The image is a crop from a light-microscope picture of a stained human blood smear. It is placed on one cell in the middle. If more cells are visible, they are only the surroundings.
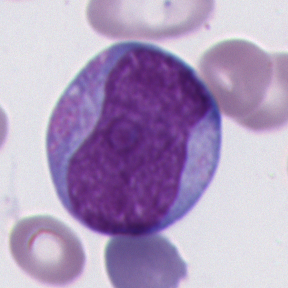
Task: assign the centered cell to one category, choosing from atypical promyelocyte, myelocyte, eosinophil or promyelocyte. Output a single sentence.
In the middle of this smear crop, the cell is a promyelocyte.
